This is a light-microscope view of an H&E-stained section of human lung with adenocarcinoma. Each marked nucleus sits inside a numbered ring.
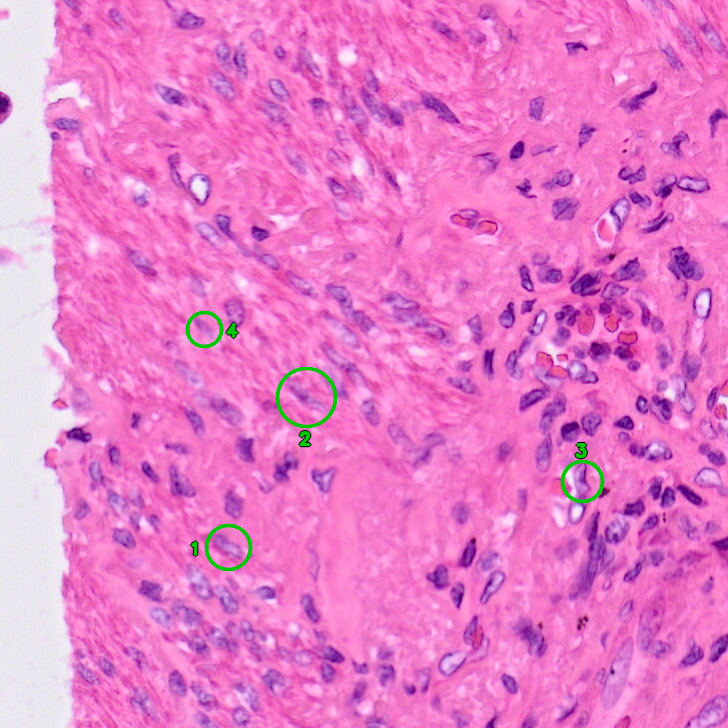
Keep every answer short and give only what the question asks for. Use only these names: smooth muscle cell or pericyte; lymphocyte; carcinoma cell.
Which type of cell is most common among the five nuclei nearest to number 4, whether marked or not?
smooth muscle cell or pericyte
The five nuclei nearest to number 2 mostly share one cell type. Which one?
smooth muscle cell or pericyte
